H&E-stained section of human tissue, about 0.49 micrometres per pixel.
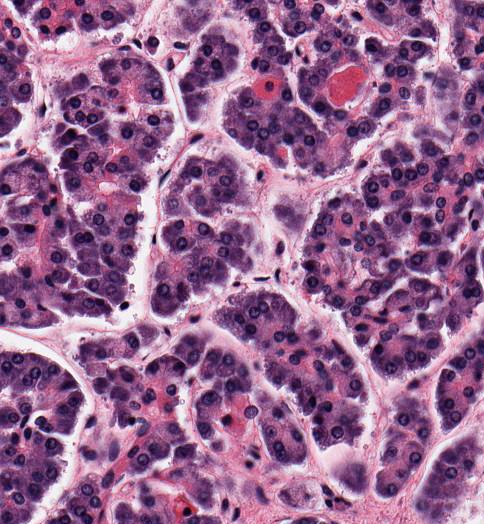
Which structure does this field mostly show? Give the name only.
exocrine pancreas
